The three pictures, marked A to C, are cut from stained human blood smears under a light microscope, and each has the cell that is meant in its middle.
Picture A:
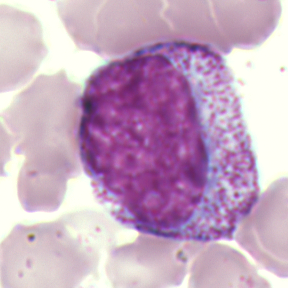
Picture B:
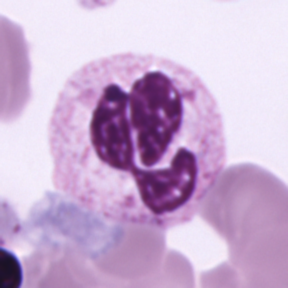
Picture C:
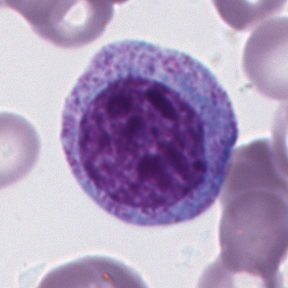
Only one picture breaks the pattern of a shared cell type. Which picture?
B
